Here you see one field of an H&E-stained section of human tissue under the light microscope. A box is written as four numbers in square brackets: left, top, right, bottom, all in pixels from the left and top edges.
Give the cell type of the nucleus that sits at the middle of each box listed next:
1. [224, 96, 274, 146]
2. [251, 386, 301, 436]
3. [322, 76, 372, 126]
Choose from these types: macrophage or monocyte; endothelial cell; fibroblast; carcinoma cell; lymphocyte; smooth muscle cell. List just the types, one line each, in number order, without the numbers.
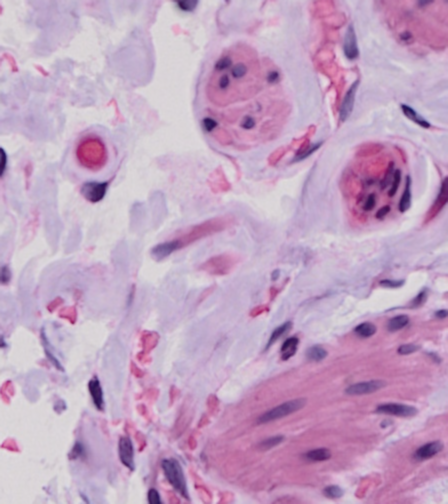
smooth muscle cell
smooth muscle cell
endothelial cell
